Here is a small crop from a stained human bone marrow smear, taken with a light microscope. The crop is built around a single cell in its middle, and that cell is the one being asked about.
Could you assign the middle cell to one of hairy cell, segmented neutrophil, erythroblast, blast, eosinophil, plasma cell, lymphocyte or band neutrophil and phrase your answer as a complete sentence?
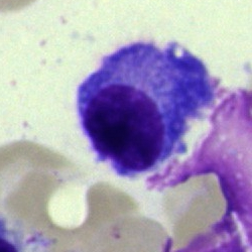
The centrally located cell in the crop is a plasma cell.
